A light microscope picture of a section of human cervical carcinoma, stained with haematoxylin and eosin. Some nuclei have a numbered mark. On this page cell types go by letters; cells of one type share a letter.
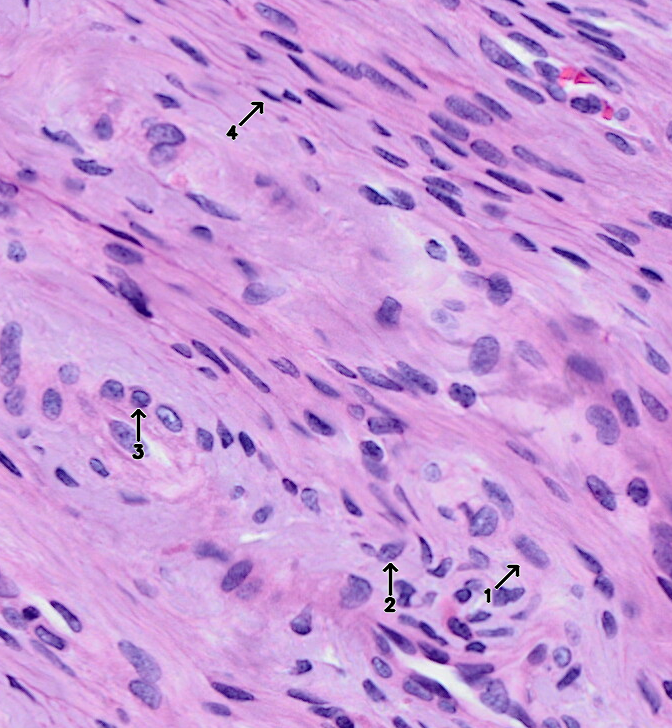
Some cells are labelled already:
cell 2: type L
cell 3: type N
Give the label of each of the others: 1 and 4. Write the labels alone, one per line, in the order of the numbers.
type L
type L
